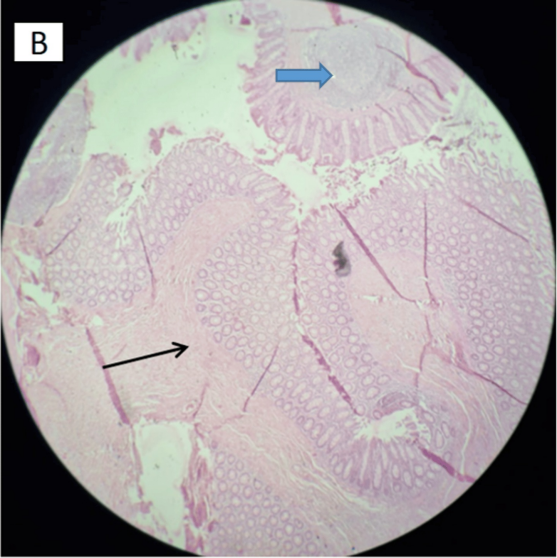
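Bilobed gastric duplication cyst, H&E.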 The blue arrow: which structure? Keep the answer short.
Lymphoid follicles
